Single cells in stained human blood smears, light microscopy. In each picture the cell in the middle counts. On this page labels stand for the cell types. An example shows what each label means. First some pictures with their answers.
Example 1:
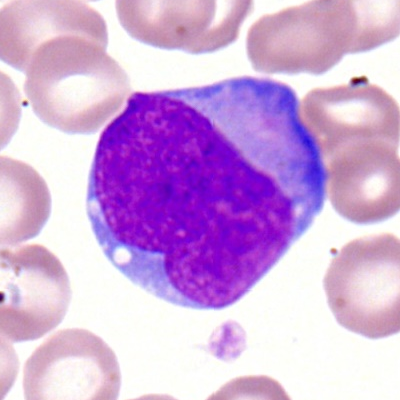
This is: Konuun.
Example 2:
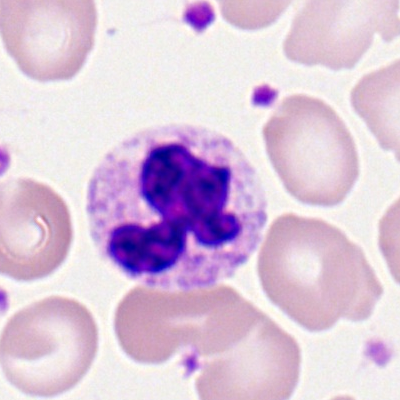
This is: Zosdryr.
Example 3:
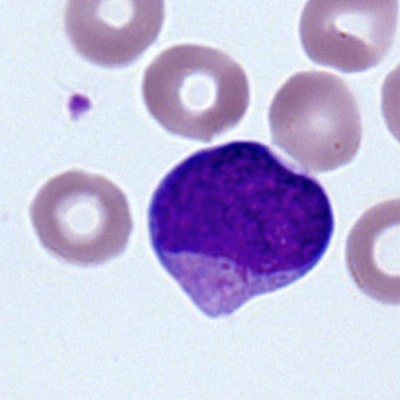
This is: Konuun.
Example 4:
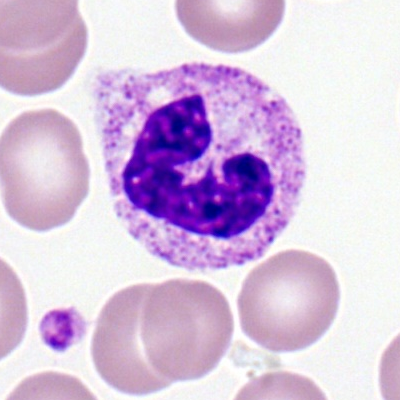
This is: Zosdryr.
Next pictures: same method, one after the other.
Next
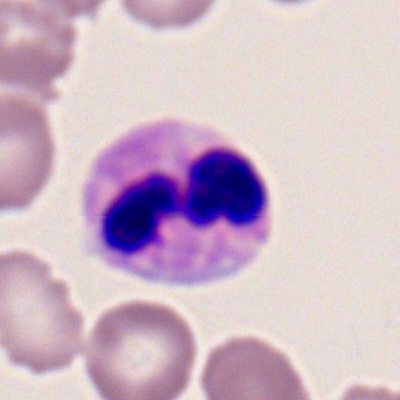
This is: Zosdryr.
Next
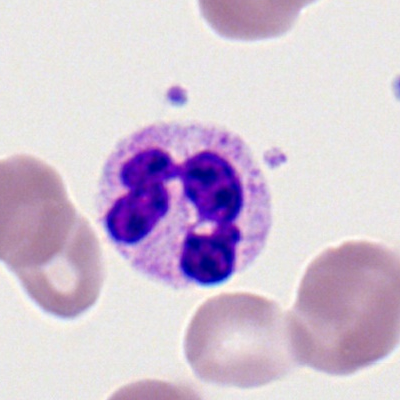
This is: Zosdryr.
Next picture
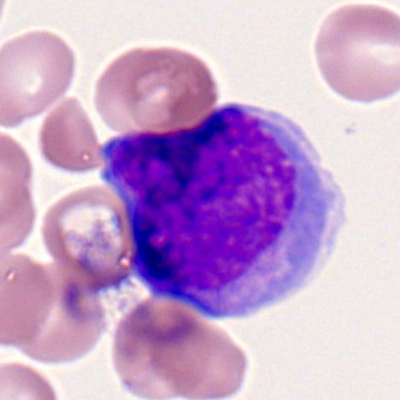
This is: Konuun.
